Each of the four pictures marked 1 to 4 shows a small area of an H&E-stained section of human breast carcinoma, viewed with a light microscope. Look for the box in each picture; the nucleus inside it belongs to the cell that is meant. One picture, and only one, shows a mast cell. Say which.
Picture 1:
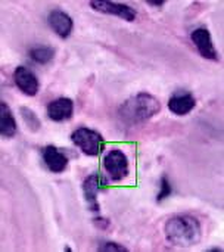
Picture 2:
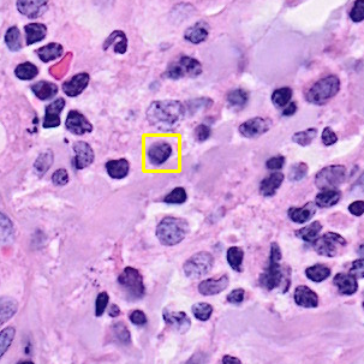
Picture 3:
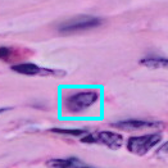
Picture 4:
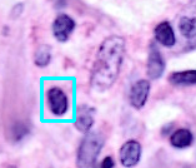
3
